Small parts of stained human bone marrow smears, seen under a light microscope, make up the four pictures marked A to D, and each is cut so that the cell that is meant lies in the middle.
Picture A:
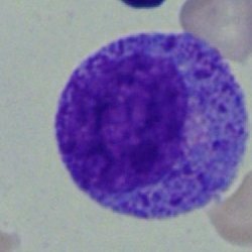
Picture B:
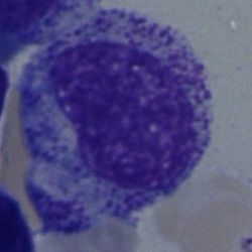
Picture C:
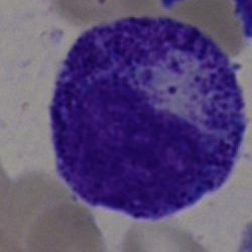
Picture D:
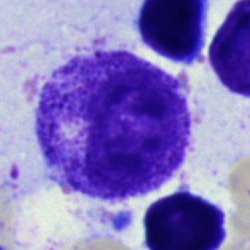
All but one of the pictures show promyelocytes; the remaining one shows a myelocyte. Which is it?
B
